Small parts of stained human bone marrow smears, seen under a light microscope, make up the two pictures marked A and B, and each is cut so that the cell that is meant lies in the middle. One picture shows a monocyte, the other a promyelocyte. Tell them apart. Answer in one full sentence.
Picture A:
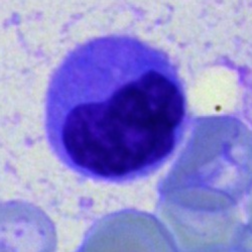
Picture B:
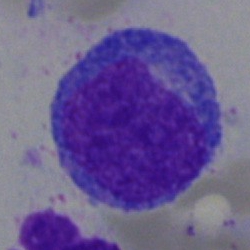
It is picture A that shows a monocyte, and picture B that shows a promyelocyte.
